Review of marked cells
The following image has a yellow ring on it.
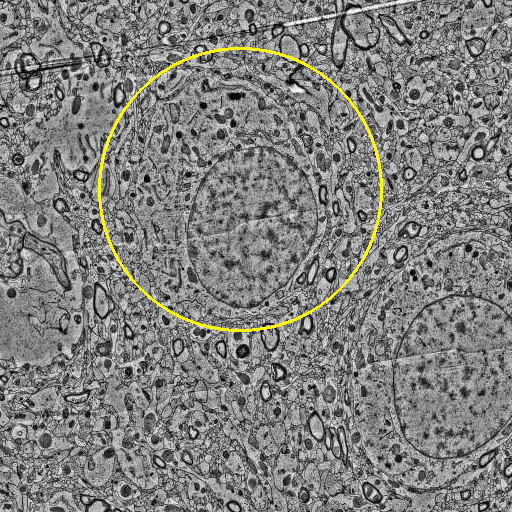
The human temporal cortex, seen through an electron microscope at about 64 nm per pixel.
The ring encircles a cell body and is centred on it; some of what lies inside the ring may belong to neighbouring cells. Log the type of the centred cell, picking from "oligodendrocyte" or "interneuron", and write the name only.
interneuron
